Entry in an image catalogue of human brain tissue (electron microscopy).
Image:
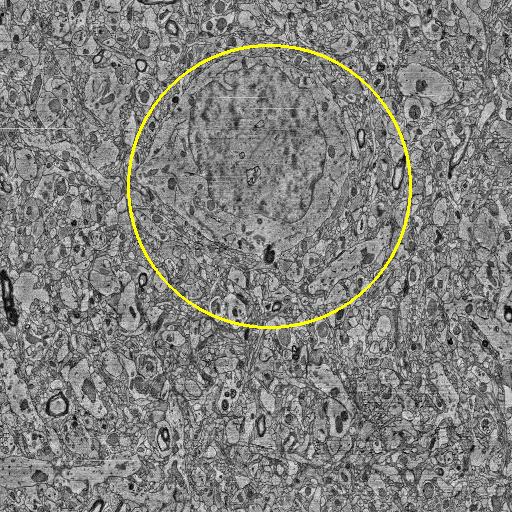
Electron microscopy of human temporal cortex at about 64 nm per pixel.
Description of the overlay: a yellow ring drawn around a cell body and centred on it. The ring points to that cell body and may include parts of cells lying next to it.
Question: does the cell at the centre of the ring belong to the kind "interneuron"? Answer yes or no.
yes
